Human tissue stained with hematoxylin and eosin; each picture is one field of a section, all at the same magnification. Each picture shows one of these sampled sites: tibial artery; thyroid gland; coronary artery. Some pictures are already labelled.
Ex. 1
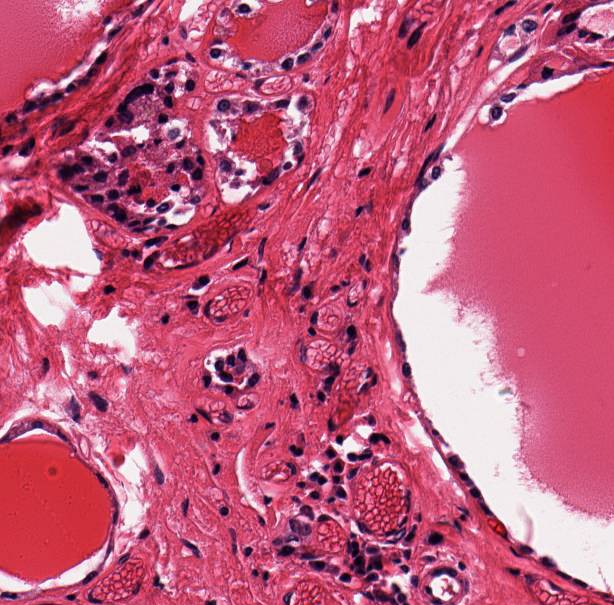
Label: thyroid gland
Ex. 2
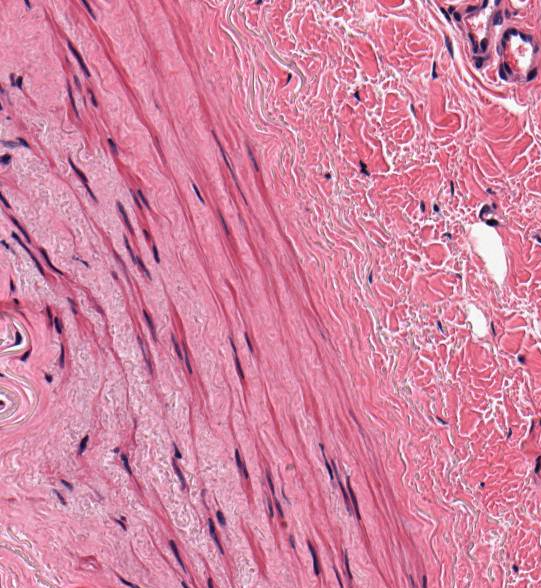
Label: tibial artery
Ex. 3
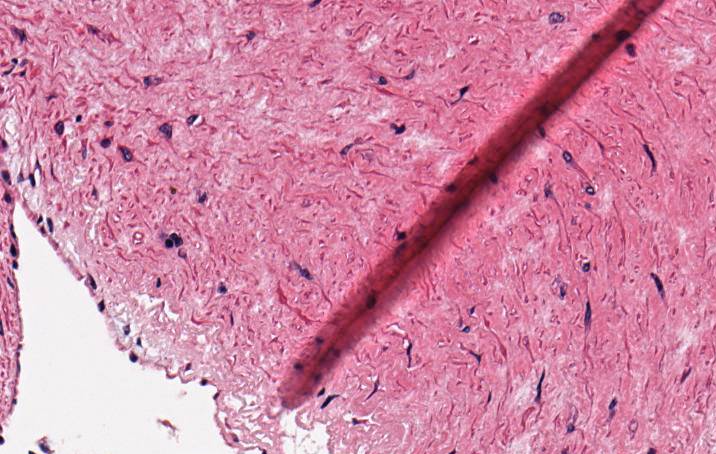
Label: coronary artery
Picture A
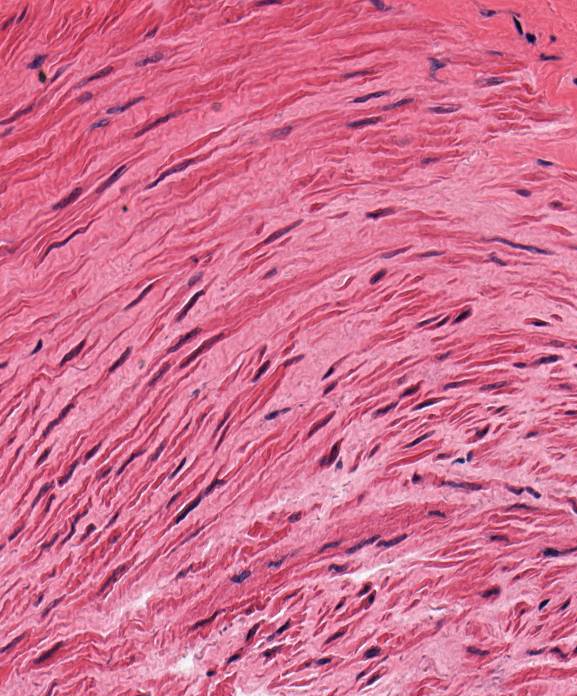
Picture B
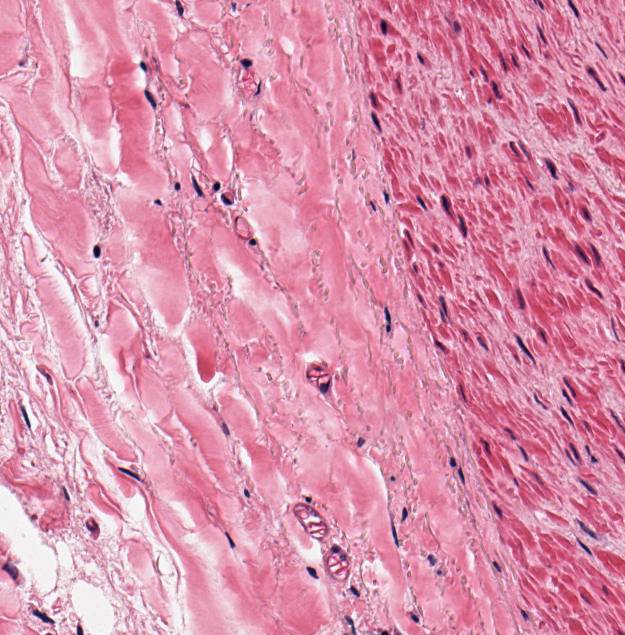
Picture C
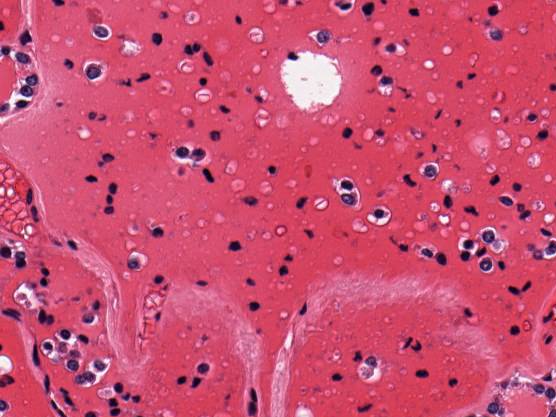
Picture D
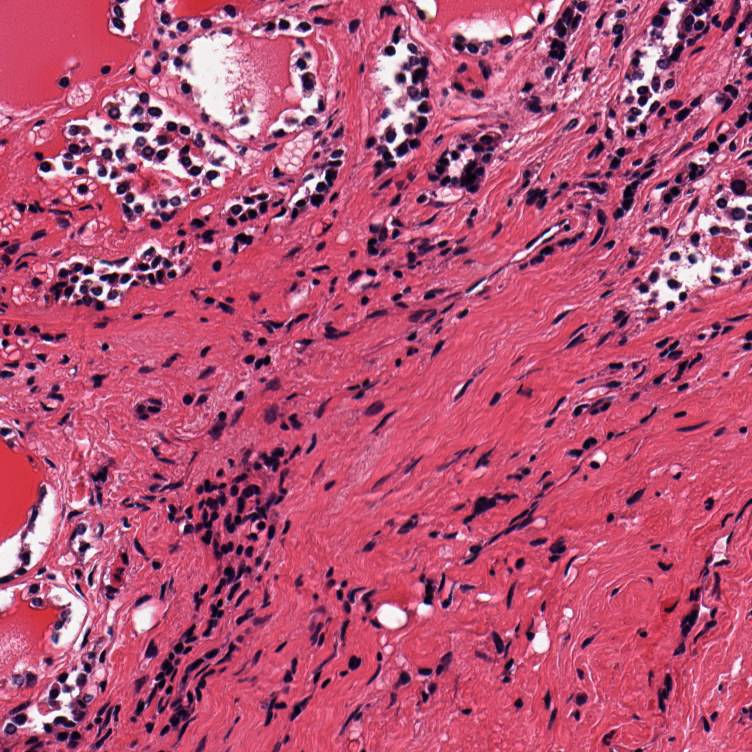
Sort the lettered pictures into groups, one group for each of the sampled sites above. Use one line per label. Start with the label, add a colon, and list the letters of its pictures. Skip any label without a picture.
tibial artery: A
thyroid gland: C, D
coronary artery: B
